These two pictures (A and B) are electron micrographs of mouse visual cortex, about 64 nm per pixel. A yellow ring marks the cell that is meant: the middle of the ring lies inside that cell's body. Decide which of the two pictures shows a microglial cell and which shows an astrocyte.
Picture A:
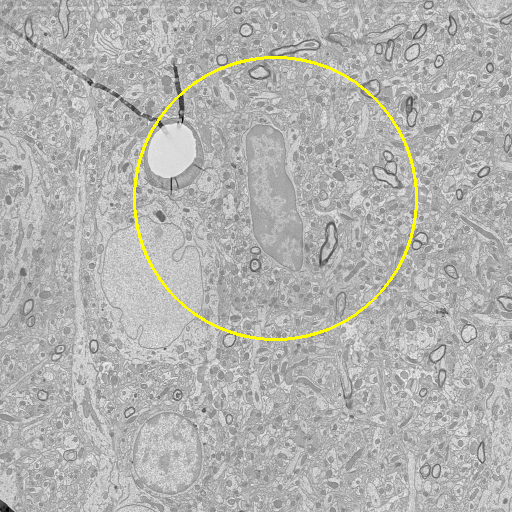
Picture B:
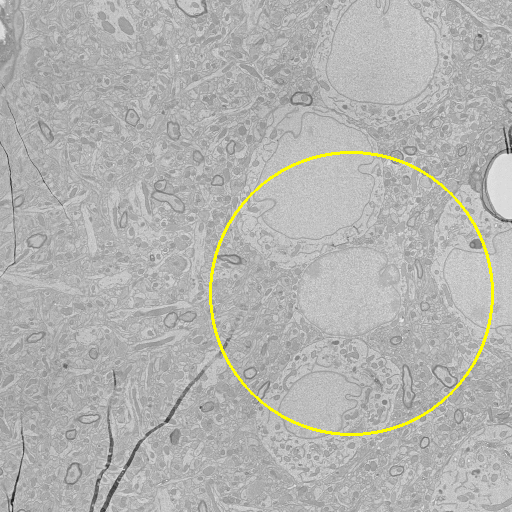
It is picture A that shows a microglial cell, and picture B that shows an astrocyte.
